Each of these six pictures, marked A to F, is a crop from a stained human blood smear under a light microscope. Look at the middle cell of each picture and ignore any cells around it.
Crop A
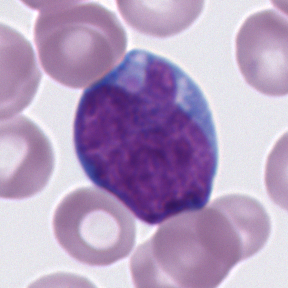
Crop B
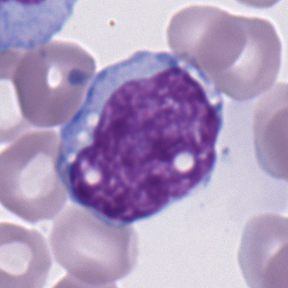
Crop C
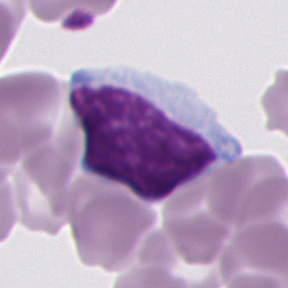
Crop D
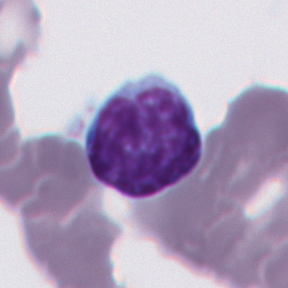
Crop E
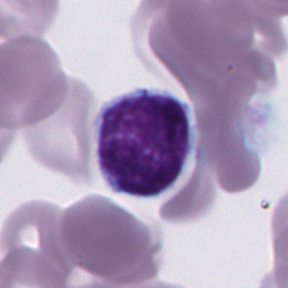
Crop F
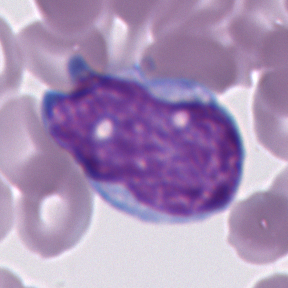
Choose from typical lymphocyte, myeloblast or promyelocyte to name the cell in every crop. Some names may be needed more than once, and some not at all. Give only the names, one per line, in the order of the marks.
myeloblast
myeloblast
typical lymphocyte
typical lymphocyte
typical lymphocyte
myeloblast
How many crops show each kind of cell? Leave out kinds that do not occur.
myeloblast: 3
typical lymphocyte: 3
